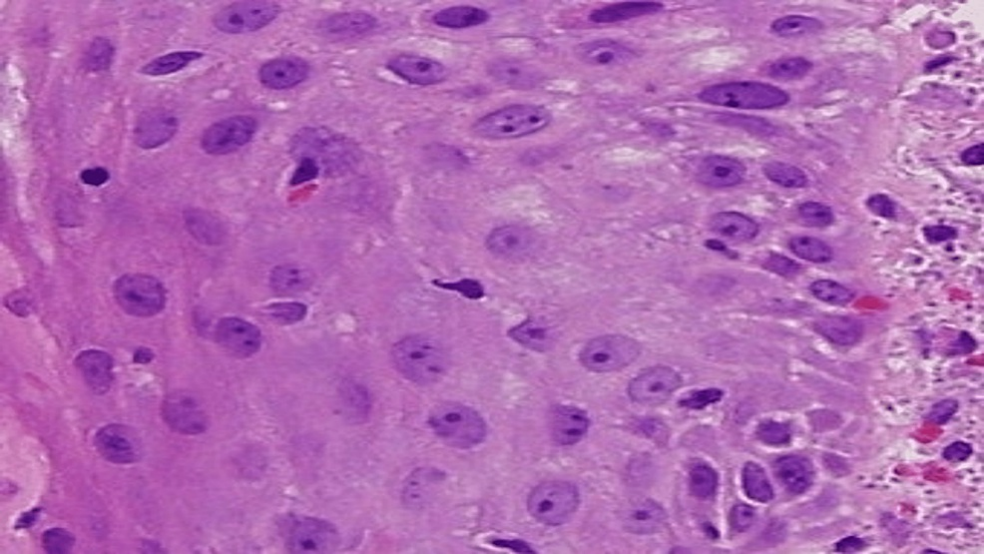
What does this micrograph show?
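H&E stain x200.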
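Most of this field is squamous epithelium, made of large polygonal epithelial cells packed closely together in a continuous sheet. Each cell has a generous amount of pink-purple cytoplasm and a single round to oval purple nucleus, and many nuclei show one or more small dark nucleoli. Some cells have a pale clear rim around the nucleus. Toward the left edge the tissue looks pinker and more compact, with some flattened cells. Along the right edge the tissue is looser, with many small dark nuclei, debris and scattered bright red blood cells.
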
